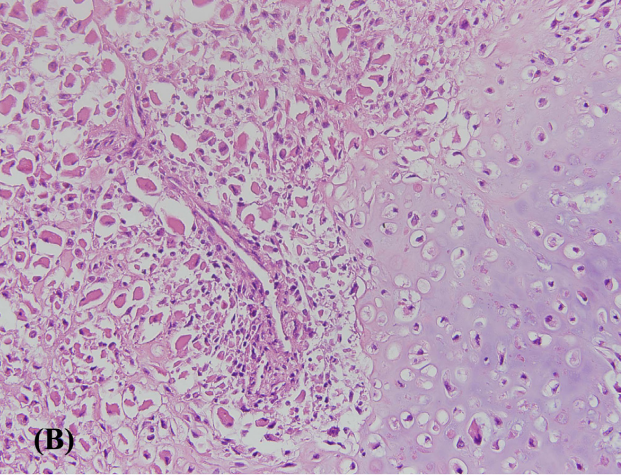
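This is a tumor in which pleomorphic tumor cells with rhabdoid features lie next to an area of cartilage-like matrix. On the left, the cells are crowded and variably sized, many with abundant glassy pink cytoplasm and eccentric nuclei, and many are separated by clear retraction spaces. A thin vessel runs through this cellular area. Toward the right the tissue changes into a pale bluish-purple hyaline-like matrix in which scattered cells sit singly in clear lacunae.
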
